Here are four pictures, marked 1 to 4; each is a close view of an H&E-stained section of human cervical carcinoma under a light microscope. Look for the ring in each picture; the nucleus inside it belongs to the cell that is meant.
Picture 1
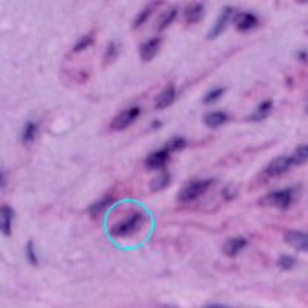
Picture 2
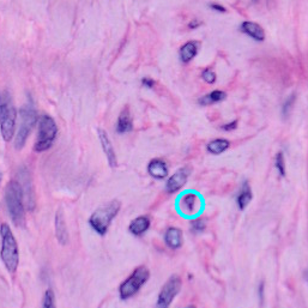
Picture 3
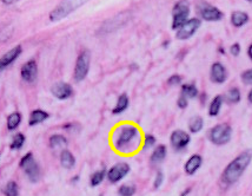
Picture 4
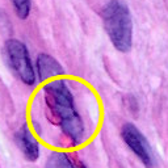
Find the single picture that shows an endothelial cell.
4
